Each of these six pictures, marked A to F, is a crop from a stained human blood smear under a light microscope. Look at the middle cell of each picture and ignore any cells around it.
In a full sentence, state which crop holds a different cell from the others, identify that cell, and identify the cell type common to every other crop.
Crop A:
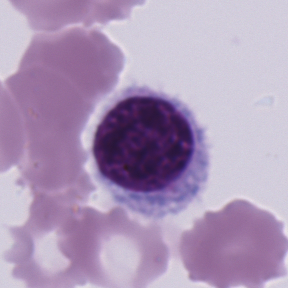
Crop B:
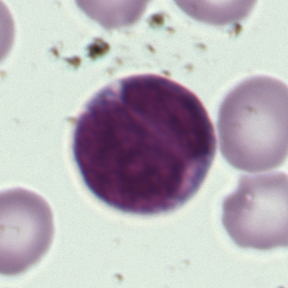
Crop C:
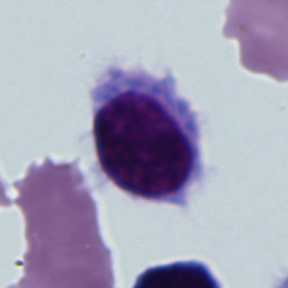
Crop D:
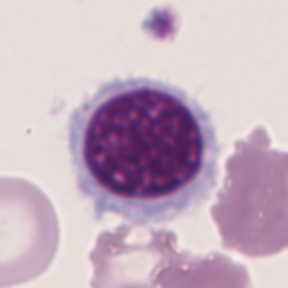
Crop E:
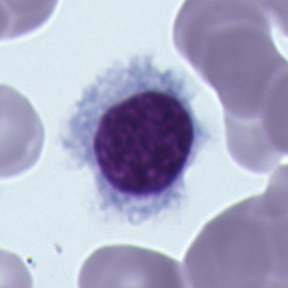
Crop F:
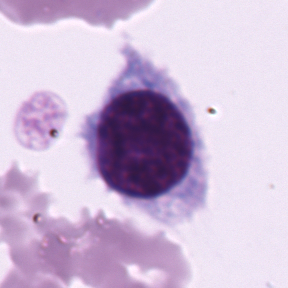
While crop B shows a blast, the other crops all show hairy cells.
